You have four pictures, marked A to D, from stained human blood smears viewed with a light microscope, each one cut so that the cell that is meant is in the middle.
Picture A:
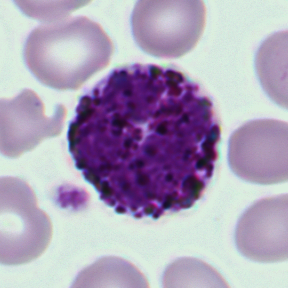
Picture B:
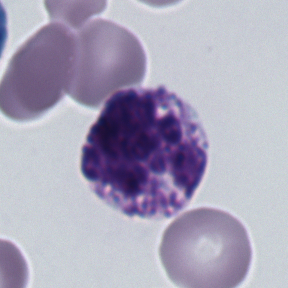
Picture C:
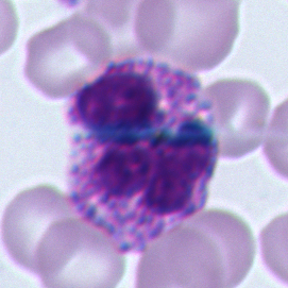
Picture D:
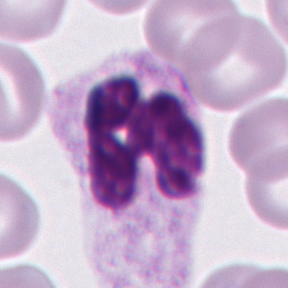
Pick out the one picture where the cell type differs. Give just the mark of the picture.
D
